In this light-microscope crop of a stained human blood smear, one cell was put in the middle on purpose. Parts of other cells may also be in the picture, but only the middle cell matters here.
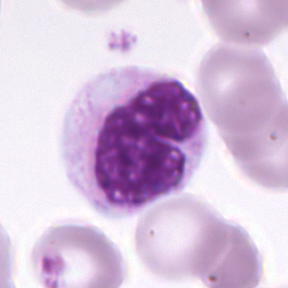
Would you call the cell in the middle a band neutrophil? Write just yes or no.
yes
